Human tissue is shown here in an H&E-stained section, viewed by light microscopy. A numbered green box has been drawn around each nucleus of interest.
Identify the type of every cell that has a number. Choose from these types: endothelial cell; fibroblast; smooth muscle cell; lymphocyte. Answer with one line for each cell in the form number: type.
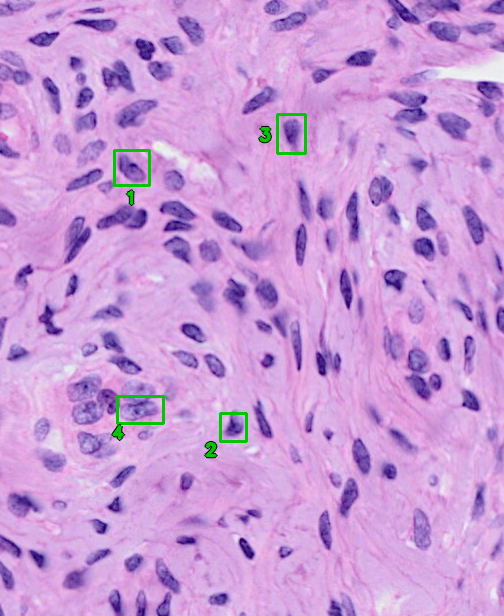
1: fibroblast
2: fibroblast
3: fibroblast
4: endothelial cell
